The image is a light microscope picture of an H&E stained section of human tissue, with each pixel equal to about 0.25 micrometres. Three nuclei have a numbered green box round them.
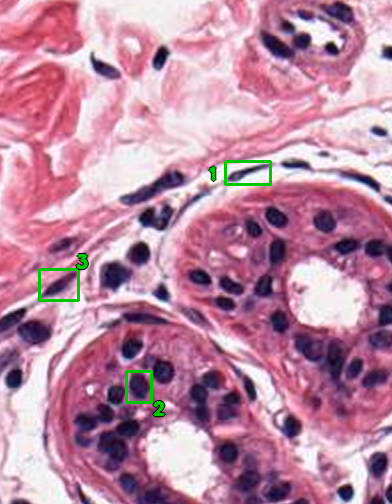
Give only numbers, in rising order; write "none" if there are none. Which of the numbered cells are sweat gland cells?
2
